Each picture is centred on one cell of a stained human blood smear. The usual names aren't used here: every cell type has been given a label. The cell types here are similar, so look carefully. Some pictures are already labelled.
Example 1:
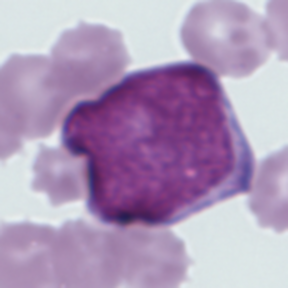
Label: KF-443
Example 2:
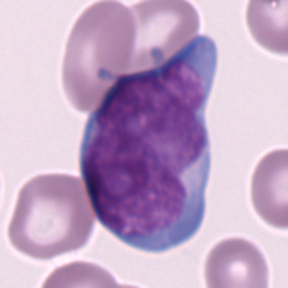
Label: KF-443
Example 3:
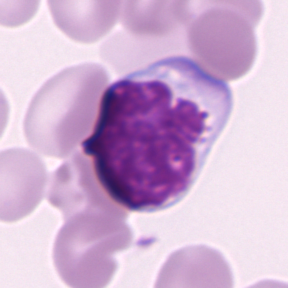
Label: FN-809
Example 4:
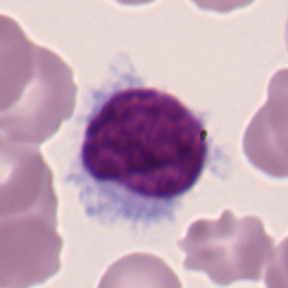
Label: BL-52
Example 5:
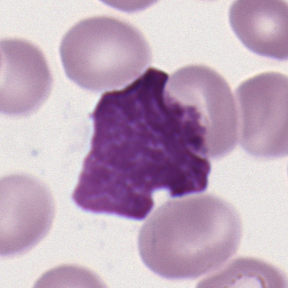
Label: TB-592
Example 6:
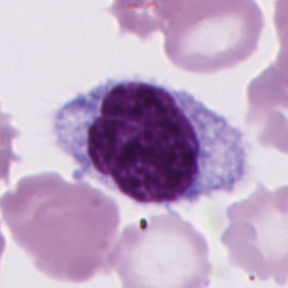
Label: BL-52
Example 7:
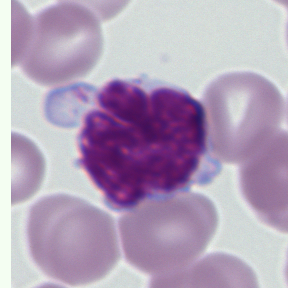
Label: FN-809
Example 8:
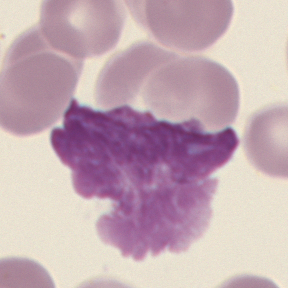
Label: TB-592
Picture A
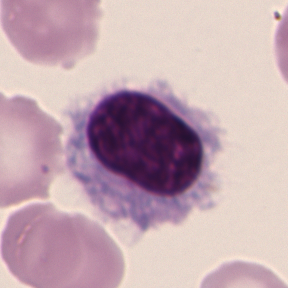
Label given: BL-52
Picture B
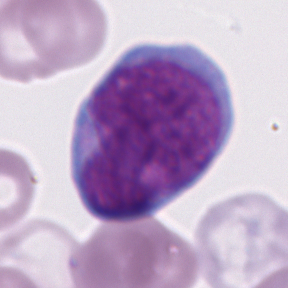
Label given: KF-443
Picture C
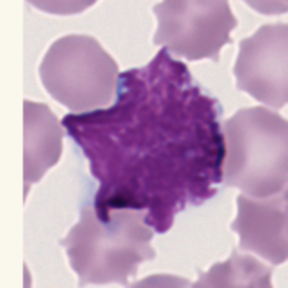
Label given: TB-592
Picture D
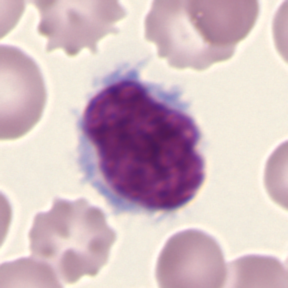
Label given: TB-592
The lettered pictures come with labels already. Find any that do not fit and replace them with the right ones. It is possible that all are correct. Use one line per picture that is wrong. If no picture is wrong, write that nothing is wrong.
D should be BL-52, not TB-592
